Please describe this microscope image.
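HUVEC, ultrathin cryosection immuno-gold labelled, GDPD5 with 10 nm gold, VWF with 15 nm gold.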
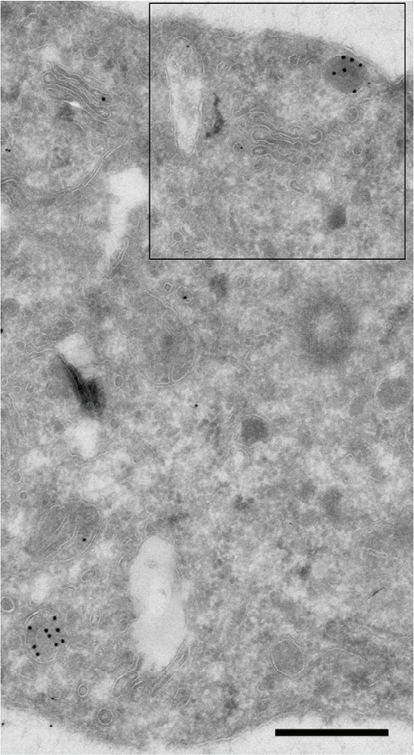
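This overview shows a wide stretch of endothelial cell cytoplasm in a thin section, with the cell edge running along the top and bottom. Scattered through the finely granular cytoplasm are membrane stacks of the Golgi apparatus, many small vesicles and pale, irregular membrane-bound compartments. A few isolated small black dots are scattered elsewhere, and a box frames the region containing a granule and Golgi membranes.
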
